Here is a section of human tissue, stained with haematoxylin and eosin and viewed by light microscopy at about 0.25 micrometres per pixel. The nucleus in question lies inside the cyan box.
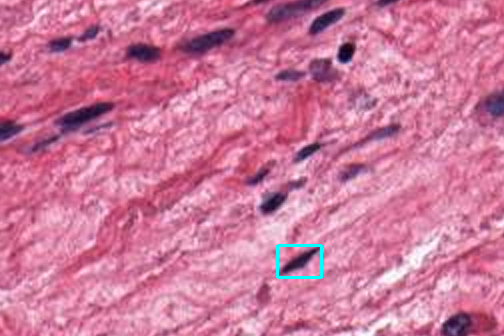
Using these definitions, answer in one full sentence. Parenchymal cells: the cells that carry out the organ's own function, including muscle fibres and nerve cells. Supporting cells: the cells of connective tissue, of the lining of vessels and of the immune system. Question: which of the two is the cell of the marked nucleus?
Here the marked nucleus is the nucleus of a supporting cell.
